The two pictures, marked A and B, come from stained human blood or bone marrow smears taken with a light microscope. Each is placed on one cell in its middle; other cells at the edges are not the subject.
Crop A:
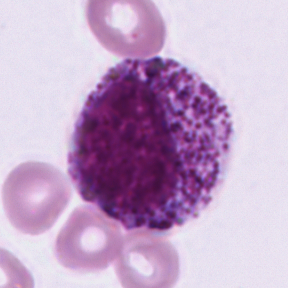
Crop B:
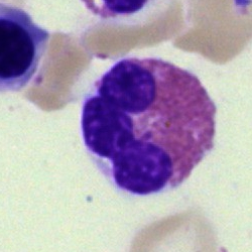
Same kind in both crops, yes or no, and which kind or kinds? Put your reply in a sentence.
No, in fact crop A shows a myelocyte, and crop B shows an eosinophil.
